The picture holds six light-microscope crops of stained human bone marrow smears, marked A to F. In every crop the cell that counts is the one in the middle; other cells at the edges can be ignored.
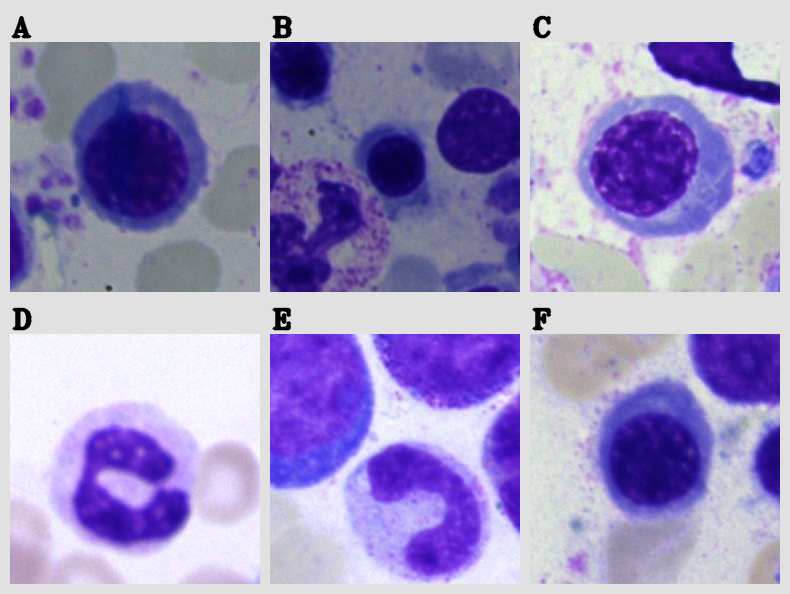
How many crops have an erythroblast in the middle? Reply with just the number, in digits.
4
